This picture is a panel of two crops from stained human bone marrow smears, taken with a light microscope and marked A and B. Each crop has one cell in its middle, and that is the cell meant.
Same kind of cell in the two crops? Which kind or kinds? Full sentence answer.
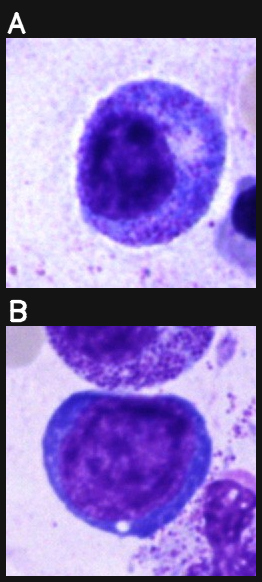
No, crop A has a promyelocyte in the middle, and crop B has a proerythroblast.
